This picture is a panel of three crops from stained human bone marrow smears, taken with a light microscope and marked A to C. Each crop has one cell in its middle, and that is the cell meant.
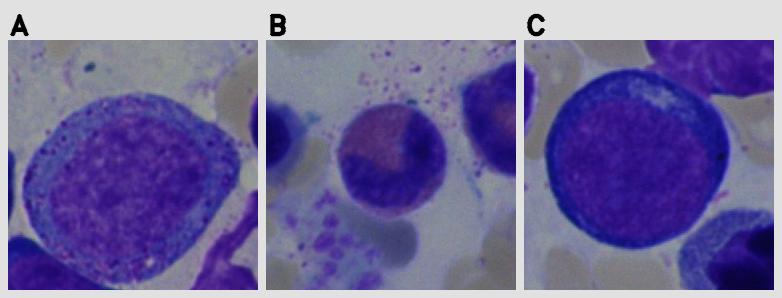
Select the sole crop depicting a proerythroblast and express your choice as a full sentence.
Crop C is the crop containing a proerythroblast.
